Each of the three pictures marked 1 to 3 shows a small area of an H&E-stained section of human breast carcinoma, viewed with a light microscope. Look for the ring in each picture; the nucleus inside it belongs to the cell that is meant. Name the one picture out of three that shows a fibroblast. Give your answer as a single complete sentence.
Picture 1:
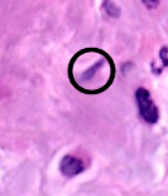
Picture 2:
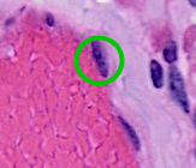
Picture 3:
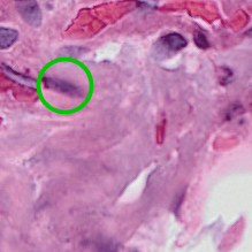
Picture 1 shows the fibroblast.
